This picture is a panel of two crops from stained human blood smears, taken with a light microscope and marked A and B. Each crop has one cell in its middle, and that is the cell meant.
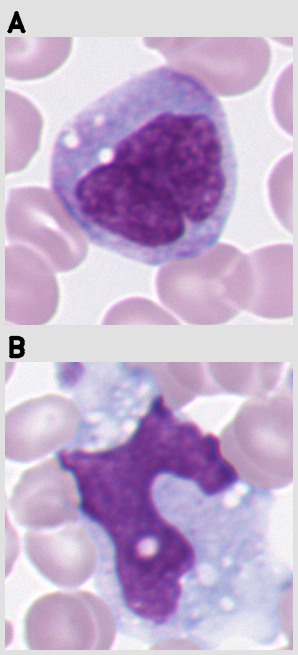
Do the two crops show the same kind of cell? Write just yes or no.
yes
